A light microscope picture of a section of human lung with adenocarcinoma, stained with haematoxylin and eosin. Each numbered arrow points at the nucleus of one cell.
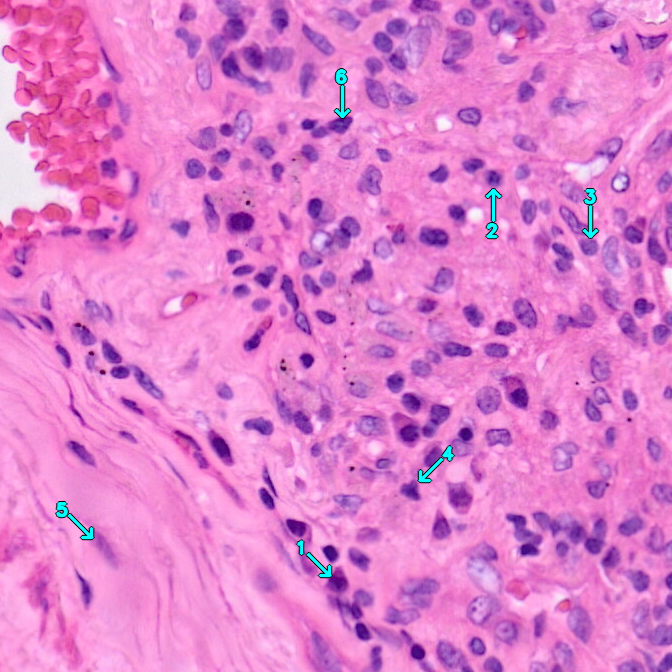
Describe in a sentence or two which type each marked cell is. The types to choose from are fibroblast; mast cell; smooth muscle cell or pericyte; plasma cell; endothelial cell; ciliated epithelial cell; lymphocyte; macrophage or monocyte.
Cell 1 is a plasma cell. Cells 2, 3, 4 and 6 are lymphocytes. Cell 5 is a fibroblast.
